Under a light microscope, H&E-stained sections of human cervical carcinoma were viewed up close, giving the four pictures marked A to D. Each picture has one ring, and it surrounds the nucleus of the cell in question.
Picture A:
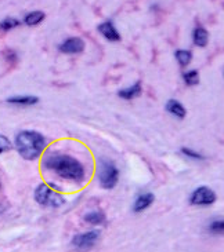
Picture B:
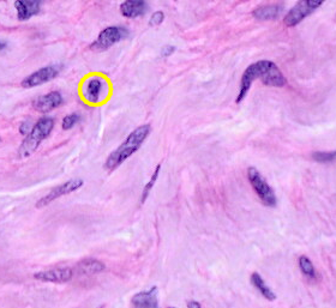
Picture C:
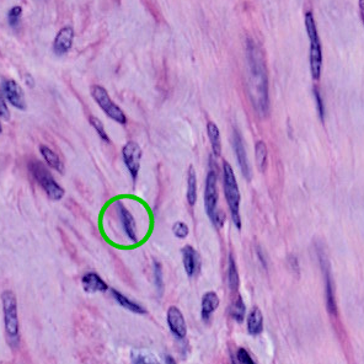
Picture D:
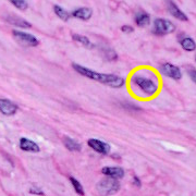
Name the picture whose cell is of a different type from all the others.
A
